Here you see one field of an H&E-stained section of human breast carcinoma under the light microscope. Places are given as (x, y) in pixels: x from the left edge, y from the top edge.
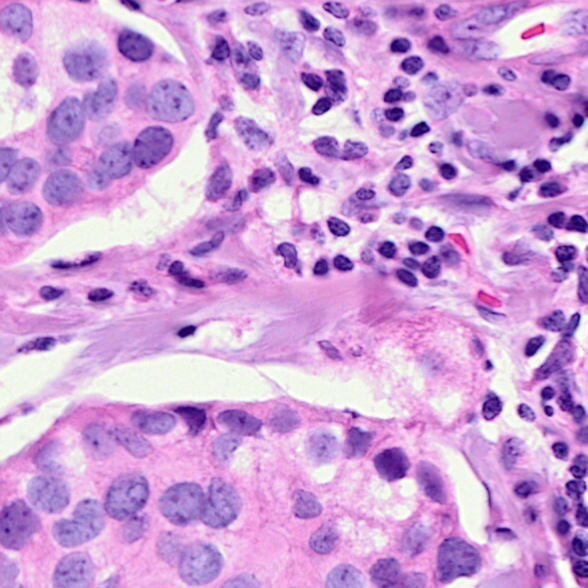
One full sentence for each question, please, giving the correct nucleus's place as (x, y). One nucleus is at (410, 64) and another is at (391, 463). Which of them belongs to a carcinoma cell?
It is the nucleus at (391, 463) that forms part of a carcinoma cell.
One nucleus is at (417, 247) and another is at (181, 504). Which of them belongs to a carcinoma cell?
Of these two nuclei, it is the one at (181, 504) that belongs to a carcinoma cell.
